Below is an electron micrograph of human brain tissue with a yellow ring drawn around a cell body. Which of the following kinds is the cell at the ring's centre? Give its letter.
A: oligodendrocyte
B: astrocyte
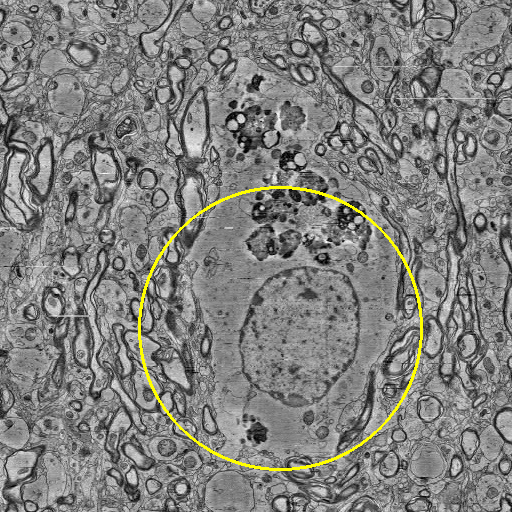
B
